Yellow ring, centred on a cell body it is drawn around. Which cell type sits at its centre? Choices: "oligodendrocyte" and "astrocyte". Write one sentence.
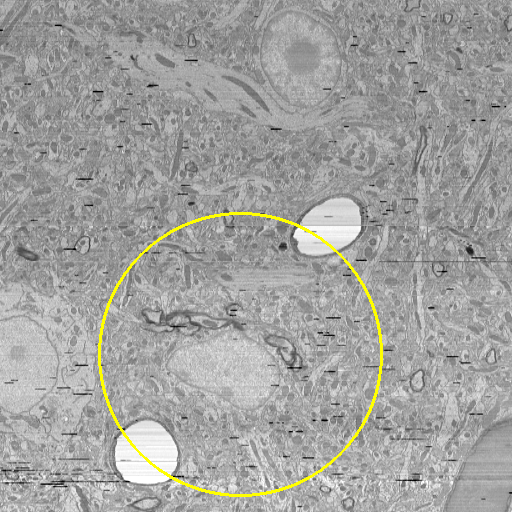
At the centre of the ring sits an astrocyte.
